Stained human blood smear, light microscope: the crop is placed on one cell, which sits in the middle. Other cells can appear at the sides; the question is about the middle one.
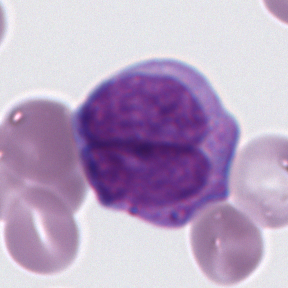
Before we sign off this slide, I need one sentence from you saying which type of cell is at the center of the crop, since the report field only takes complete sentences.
As for the cell in the middle, it is an atypical promyelocyte.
